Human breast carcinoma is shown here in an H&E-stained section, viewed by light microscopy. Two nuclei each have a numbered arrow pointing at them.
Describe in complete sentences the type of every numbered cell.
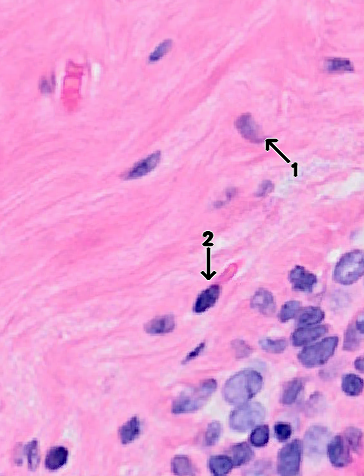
Cell 1 is a fibroblast. Cell 2 is a lymphocyte.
